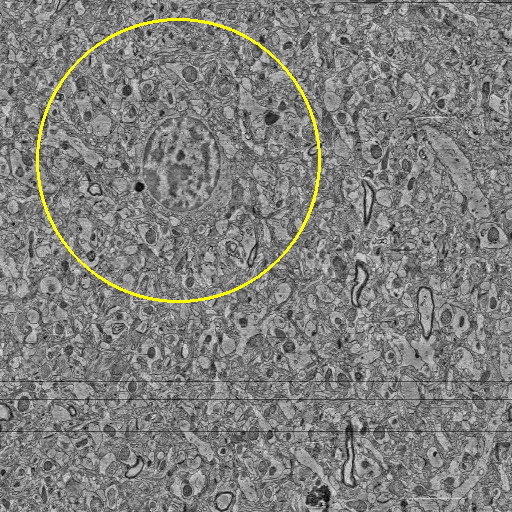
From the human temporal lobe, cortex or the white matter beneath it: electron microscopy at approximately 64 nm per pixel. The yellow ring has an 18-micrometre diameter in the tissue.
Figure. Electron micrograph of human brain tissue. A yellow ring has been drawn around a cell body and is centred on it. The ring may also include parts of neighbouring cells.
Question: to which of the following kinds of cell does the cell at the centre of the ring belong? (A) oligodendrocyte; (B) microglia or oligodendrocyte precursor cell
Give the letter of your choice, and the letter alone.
A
